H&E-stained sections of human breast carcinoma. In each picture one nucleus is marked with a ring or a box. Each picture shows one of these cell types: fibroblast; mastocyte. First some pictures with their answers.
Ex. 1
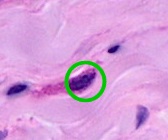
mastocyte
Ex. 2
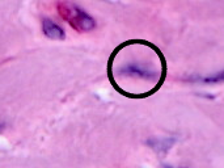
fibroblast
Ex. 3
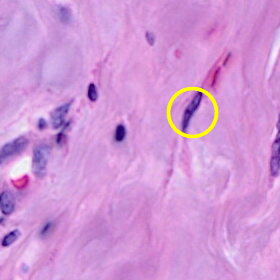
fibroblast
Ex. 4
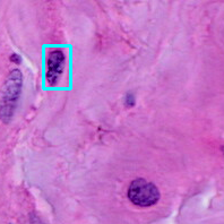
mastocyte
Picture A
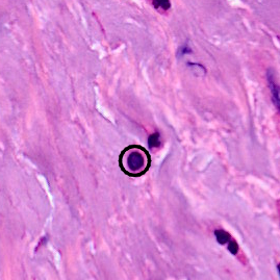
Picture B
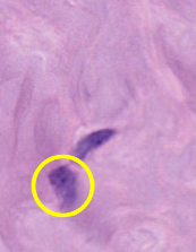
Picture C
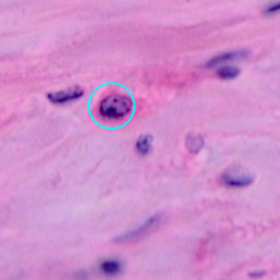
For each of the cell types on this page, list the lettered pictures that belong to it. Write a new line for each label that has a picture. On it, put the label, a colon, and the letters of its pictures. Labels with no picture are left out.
fibroblast: B
mastocyte: A, C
